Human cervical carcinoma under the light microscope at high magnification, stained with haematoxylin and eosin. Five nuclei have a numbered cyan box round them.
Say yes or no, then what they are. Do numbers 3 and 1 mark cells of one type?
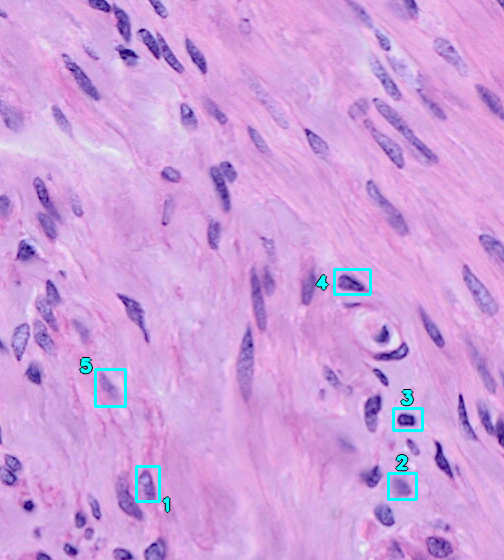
No, cell 3 is a fibroblast and cell 1 is a smooth muscle cell.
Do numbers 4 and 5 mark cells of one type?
No, cell 4 is a fibroblast and cell 5 is a smooth muscle cell.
